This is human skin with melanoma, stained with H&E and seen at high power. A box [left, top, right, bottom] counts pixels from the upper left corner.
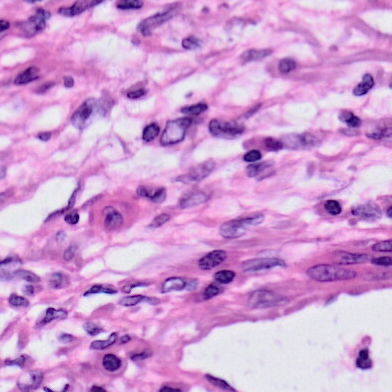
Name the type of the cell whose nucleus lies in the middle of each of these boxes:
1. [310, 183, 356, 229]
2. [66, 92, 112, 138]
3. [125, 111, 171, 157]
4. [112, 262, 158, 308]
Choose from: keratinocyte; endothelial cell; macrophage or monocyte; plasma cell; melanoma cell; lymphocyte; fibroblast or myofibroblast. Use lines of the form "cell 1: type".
cell 1: plasma cell
cell 2: fibroblast or myofibroblast
cell 3: plasma cell
cell 4: fibroblast or myofibroblast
